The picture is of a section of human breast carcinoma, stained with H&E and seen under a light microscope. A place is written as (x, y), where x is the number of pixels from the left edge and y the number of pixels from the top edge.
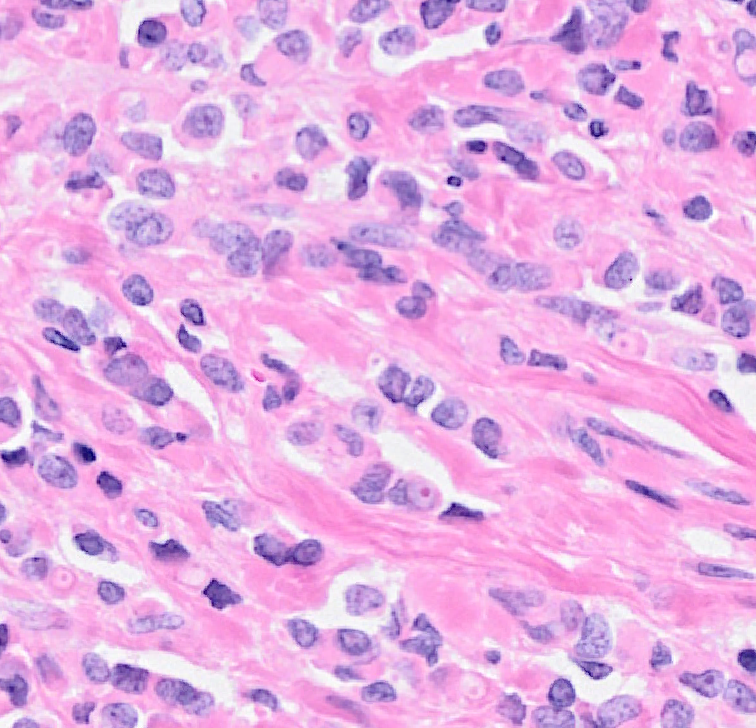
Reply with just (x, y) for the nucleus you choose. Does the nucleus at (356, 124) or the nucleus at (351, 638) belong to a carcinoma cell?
(351, 638)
